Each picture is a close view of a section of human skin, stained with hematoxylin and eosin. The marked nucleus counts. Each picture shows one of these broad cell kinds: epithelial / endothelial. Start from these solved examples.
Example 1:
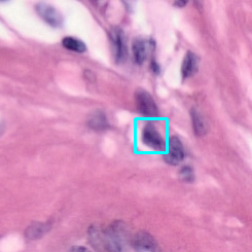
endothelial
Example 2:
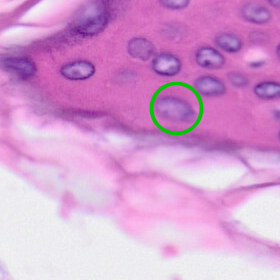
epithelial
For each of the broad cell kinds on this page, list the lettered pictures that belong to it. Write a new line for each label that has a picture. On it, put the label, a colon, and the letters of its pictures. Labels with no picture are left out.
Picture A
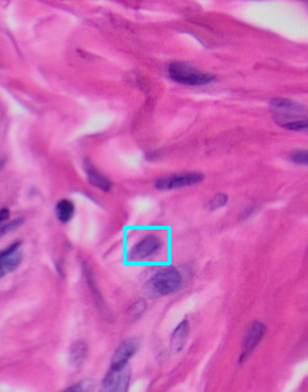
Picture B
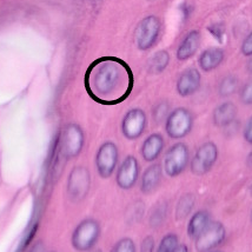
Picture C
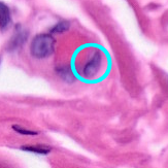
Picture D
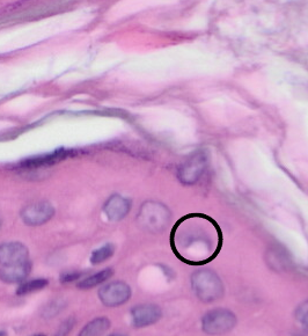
epithelial: B, D
endothelial: A, C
